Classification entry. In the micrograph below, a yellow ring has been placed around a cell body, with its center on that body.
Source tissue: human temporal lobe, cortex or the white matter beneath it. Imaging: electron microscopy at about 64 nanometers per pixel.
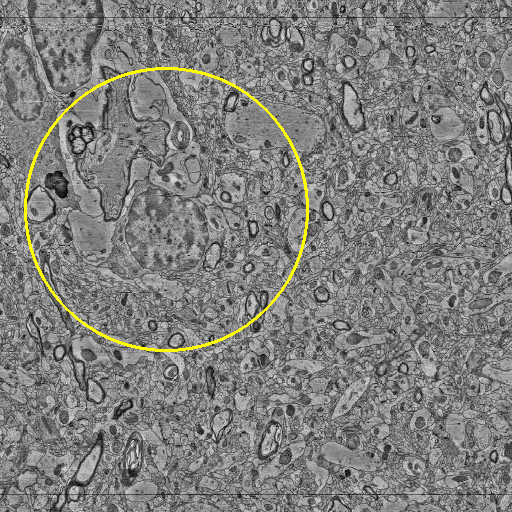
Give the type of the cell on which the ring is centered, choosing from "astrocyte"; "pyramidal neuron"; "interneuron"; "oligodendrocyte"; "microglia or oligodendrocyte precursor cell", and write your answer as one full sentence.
The cell body at the center of the yellow ring belongs to an oligodendrocyte.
